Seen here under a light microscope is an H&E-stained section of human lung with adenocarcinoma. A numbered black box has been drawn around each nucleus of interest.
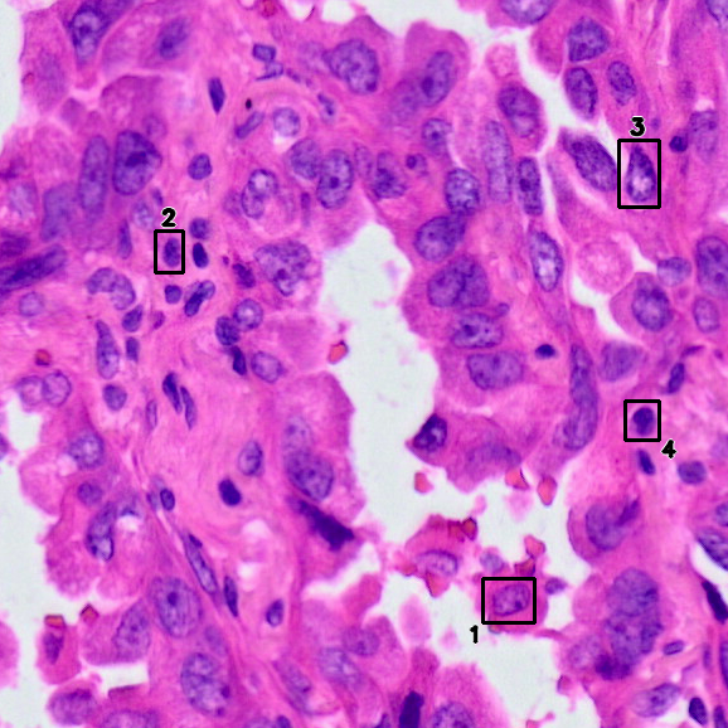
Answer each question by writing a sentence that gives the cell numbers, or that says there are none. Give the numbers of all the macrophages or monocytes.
Cell 1 is a macrophage or monocyte, and it is the only numbered cell that is.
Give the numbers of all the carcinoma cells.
Only the cell with the number 3 is a carcinoma cell.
